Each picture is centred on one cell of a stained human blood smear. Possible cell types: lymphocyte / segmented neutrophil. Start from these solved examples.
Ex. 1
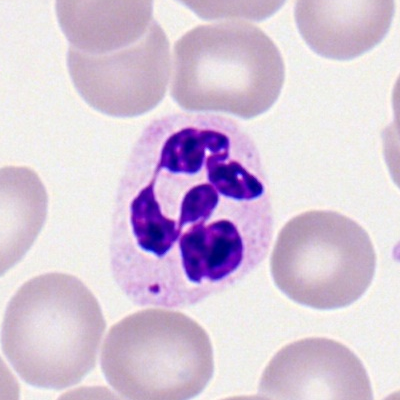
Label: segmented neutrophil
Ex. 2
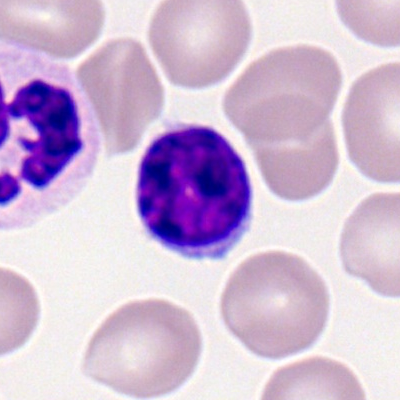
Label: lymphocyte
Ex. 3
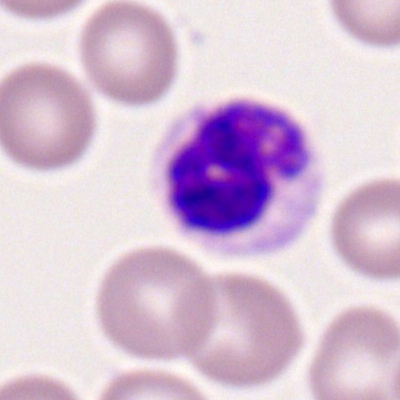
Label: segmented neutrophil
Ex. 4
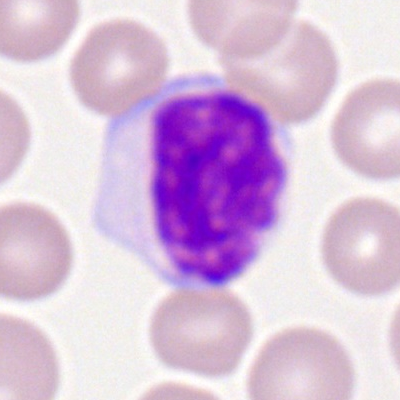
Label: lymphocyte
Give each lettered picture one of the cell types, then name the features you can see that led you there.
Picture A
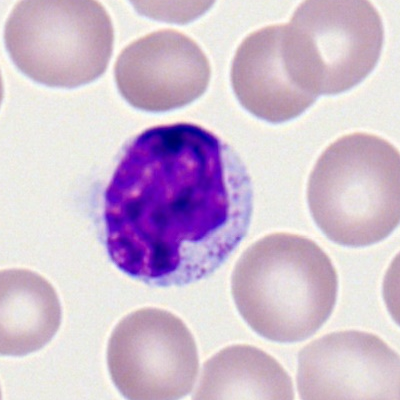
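lymphocyte: The nucleus fills most of the cell.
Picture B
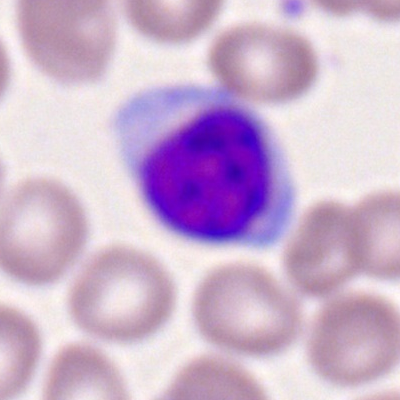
lymphocyte: The nucleus fills most of the cell, leaving a modest amount of cytoplasm.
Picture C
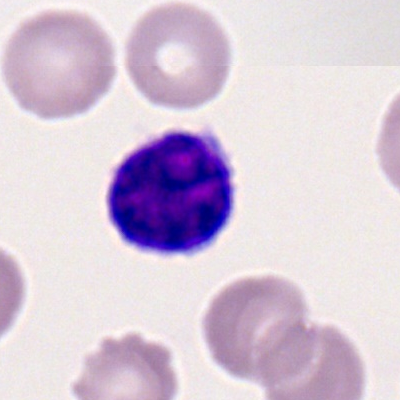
lymphocyte: The cytoplasm is scant, seen only as a thin pale bluish rim that is most visible at the upper right.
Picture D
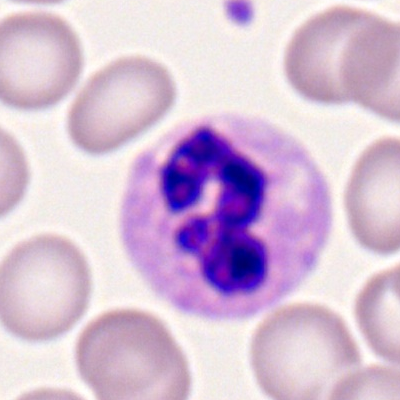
segmented neutrophil: The nucleus is divided into several lobes.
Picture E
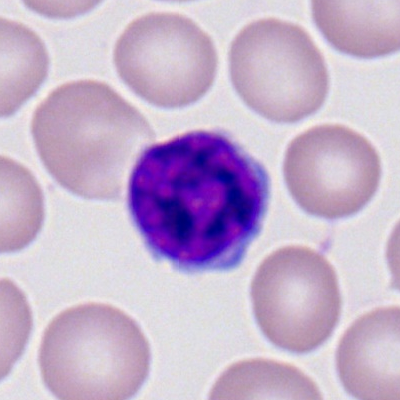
lymphocyte: The cytoplasm is only a thin rim around the nucleus.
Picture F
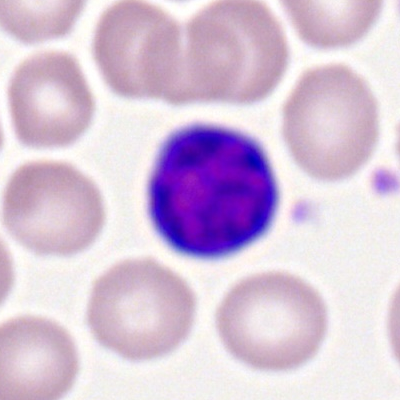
lymphocyte: Cytoplasm is scant, showing at most as a thin blue rim at the edge.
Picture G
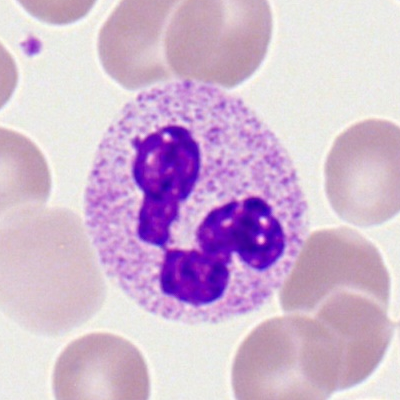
segmented neutrophil: The cytoplasm is abundant and pale pinkish-lilac.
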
